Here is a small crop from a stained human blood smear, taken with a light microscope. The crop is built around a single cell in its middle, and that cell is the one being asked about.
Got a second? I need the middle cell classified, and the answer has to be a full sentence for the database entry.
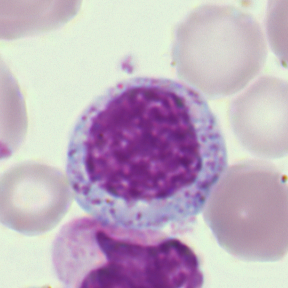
What the crop centres on is a myelocyte.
